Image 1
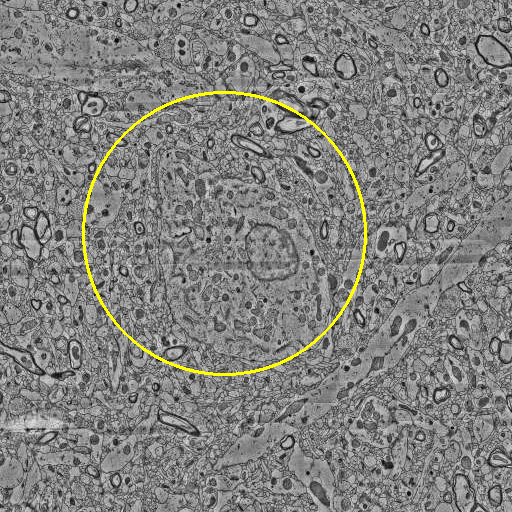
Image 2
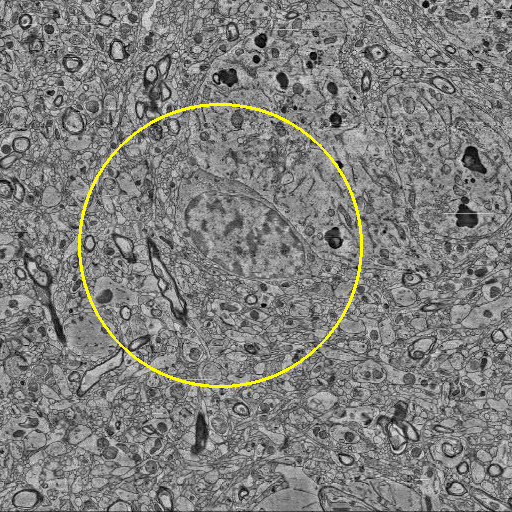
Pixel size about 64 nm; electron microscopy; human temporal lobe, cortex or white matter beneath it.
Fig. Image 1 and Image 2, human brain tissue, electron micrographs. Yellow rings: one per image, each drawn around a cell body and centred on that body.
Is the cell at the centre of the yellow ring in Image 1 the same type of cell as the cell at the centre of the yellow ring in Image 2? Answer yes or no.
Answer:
no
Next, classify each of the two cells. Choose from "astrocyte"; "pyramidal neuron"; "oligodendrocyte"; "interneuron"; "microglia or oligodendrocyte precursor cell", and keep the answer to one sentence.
In the first picture it is an interneuron; in the second it is an oligodendrocyte.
